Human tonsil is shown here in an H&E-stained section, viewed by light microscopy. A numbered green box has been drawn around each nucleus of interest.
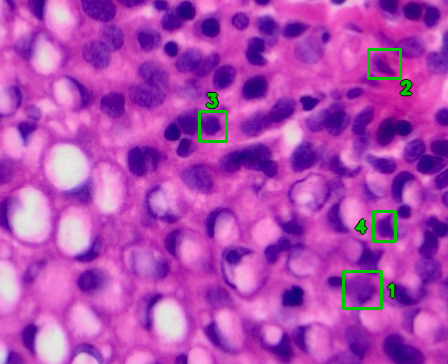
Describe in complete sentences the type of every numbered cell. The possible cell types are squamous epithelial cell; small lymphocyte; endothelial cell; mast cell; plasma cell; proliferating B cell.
Cell 1 is a squamous epithelial cell, cell 2 is an endothelial cell, cell 3 is a squamous epithelial cell and cell 4 is a squamous epithelial cell.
